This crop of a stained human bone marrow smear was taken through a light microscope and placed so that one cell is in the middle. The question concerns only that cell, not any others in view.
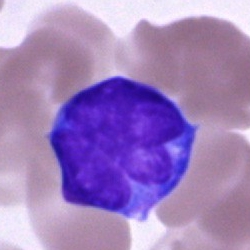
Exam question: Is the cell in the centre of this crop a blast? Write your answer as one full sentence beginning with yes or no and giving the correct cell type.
Yes, the cell in the middle of the view is a blast.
